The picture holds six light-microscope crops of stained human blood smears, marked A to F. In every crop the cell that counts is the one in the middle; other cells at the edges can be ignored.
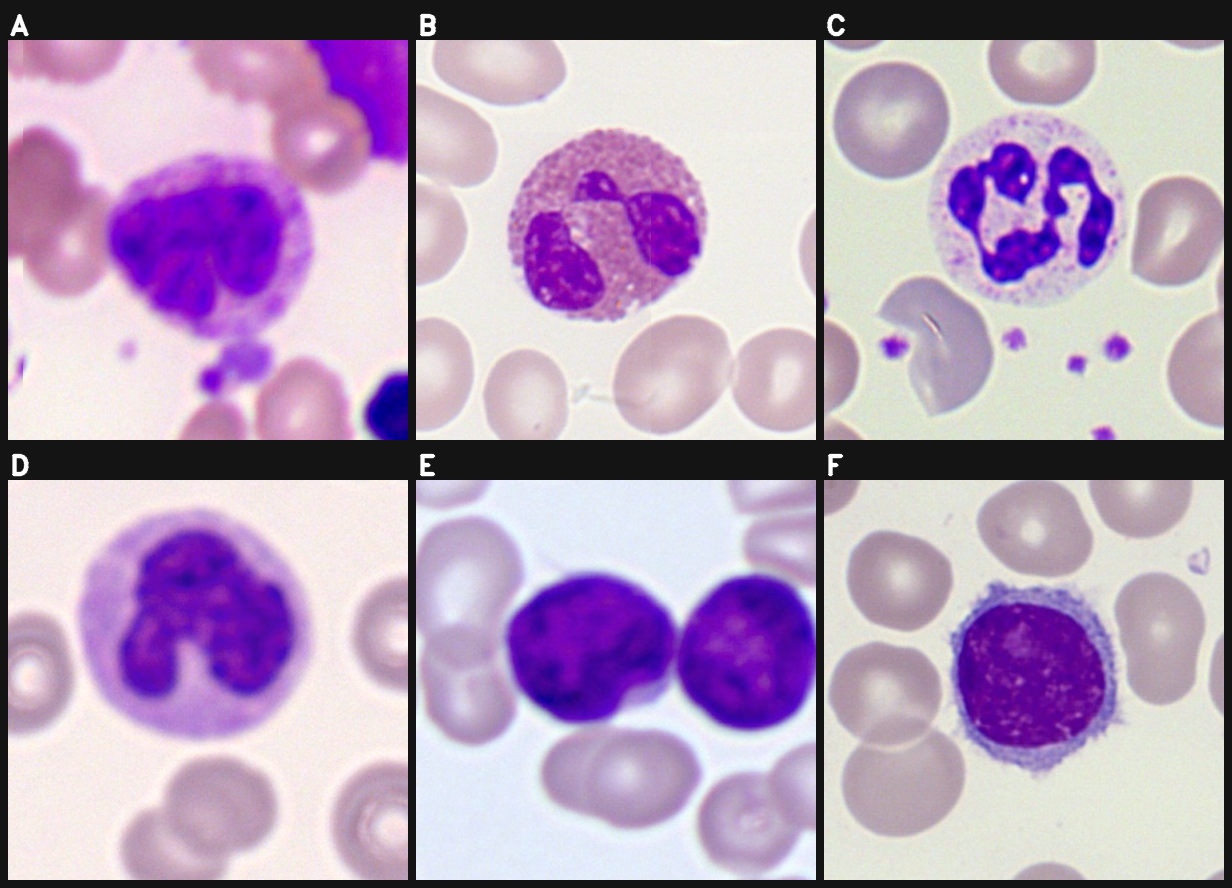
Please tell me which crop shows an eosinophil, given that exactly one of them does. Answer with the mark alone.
B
